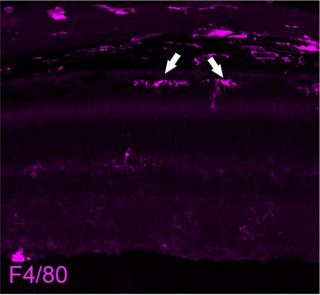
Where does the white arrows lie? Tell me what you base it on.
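Subretinal space. The arrowed magenta cells lie flattened along a horizontal line below the choroidal layer at the top. They lie at the outer edge of the retina, well above the inner retinal layers.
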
